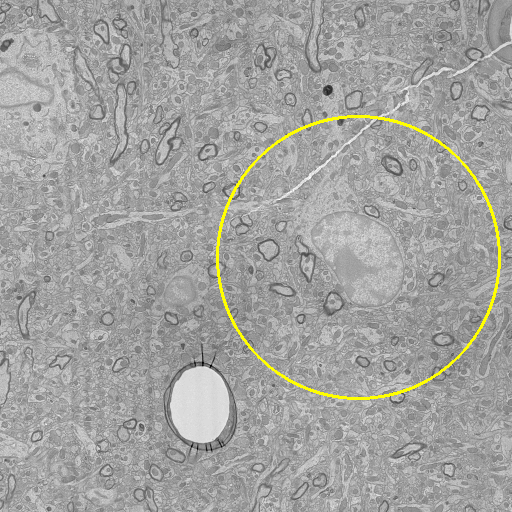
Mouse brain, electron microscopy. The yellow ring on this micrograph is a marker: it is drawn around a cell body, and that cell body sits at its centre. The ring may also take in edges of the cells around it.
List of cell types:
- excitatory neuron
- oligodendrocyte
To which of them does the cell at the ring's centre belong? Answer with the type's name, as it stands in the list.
oligodendrocyte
